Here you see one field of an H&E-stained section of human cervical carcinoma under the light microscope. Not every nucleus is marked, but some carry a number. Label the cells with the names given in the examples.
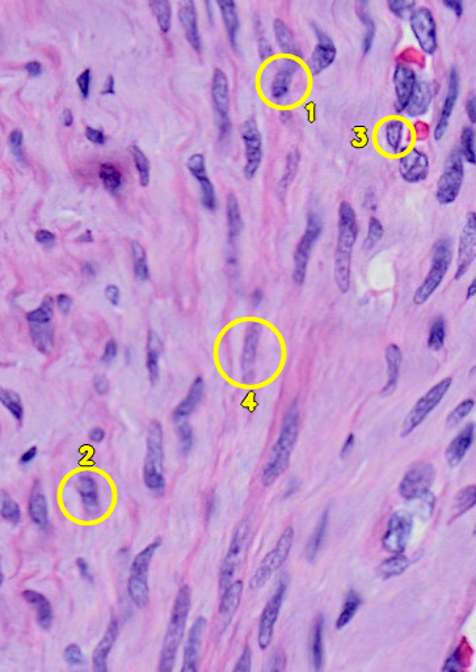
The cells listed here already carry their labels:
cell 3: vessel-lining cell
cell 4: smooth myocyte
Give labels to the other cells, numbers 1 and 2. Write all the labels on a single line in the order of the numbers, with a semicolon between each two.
smooth myocyte; smooth myocyte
